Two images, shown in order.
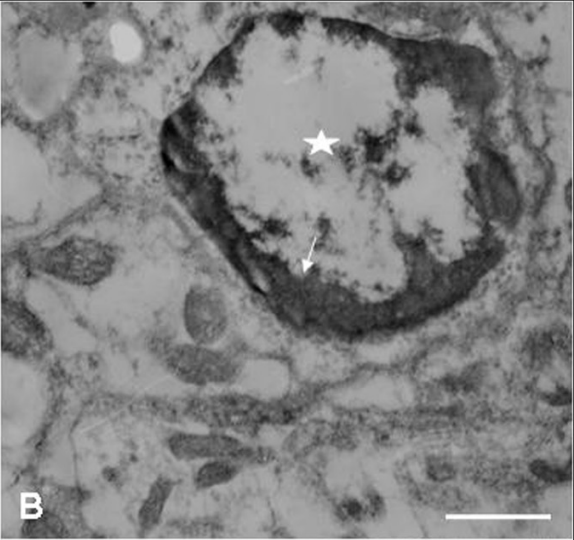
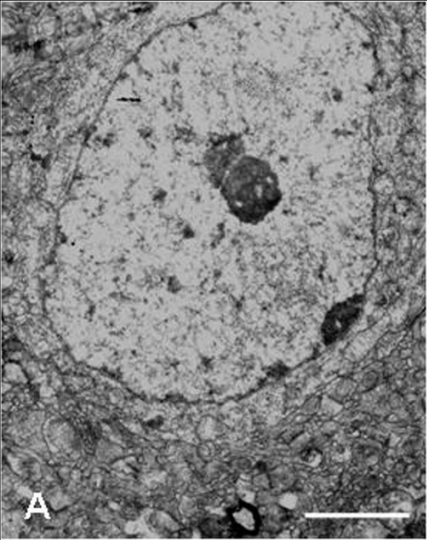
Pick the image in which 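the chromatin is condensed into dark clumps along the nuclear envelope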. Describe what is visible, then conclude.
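The first image. First image: thick, very dark chromatin rims the nucleus and forms dense clumps. Second image: chromatin is fine and evenly spread through a pale nucleus.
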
